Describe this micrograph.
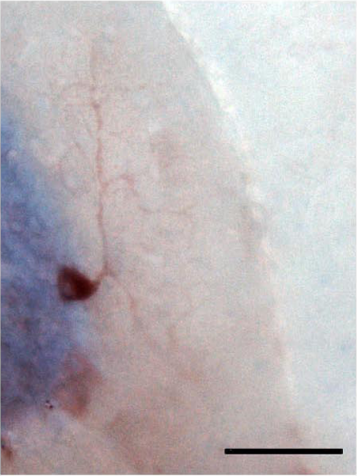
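This is cerebellar cortex with one Purkinje neuron stained dark red-brown. Its rounded cell body sits at the border of the blue, densely cellular granular layer. A single main dendrite rises from it into the pale, sparsely cellular molecular layer and branches into fine processes toward the outer surface.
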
